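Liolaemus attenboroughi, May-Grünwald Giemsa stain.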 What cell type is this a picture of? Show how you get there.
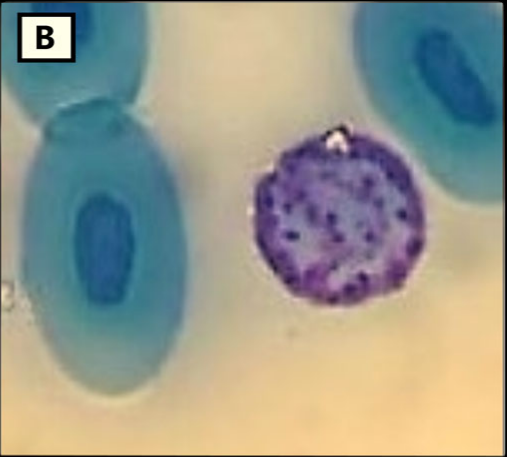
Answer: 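A round cell next to oval nucleated red cells. Its lilac cytoplasm is scattered with many dark purple granules. The granules obscure any clear nucleus. That points to this answer: basophil.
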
